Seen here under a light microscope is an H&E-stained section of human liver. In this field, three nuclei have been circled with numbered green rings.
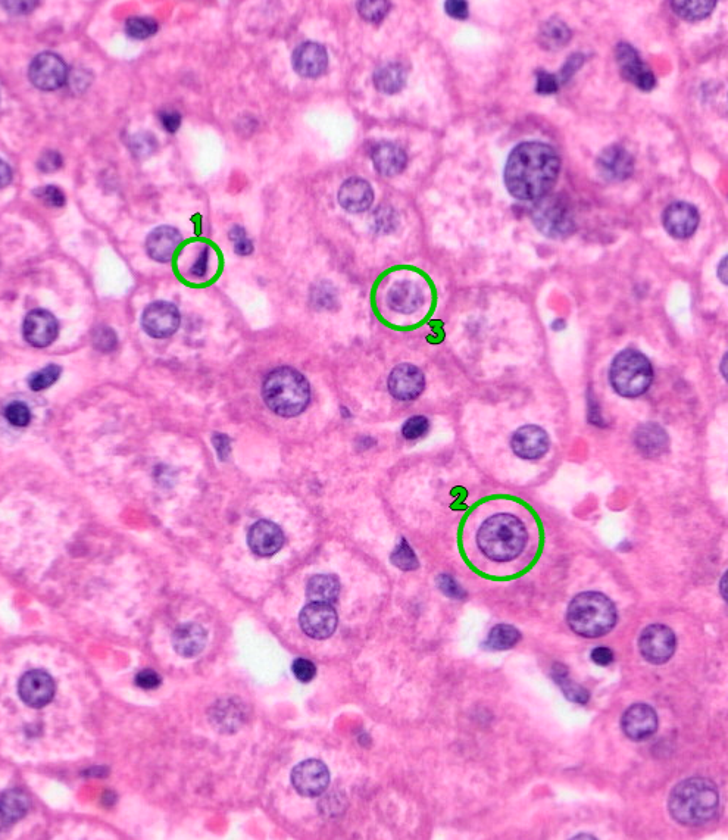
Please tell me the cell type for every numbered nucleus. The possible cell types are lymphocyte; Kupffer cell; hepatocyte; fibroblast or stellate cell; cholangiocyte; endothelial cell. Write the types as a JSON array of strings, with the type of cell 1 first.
["fibroblast or stellate cell", "hepatocyte", "hepatocyte"]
